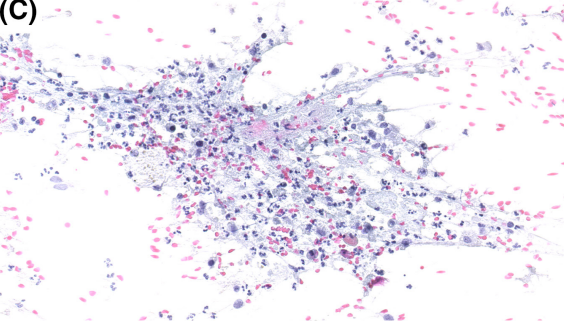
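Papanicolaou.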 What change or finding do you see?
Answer: Inflammation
